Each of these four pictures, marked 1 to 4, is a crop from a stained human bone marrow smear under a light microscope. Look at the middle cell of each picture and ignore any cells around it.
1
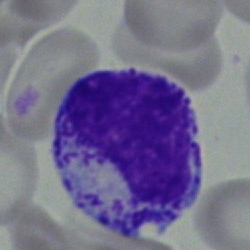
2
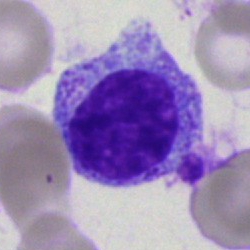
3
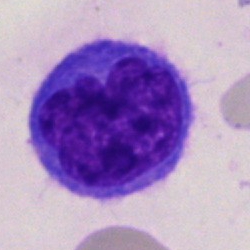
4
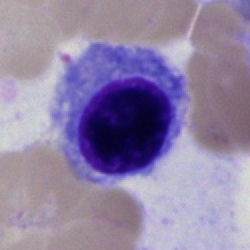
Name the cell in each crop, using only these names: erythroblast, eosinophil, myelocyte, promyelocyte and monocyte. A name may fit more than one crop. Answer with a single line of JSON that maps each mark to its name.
{"1": "myelocyte", "2": "myelocyte", "3": "monocyte", "4": "erythroblast"}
